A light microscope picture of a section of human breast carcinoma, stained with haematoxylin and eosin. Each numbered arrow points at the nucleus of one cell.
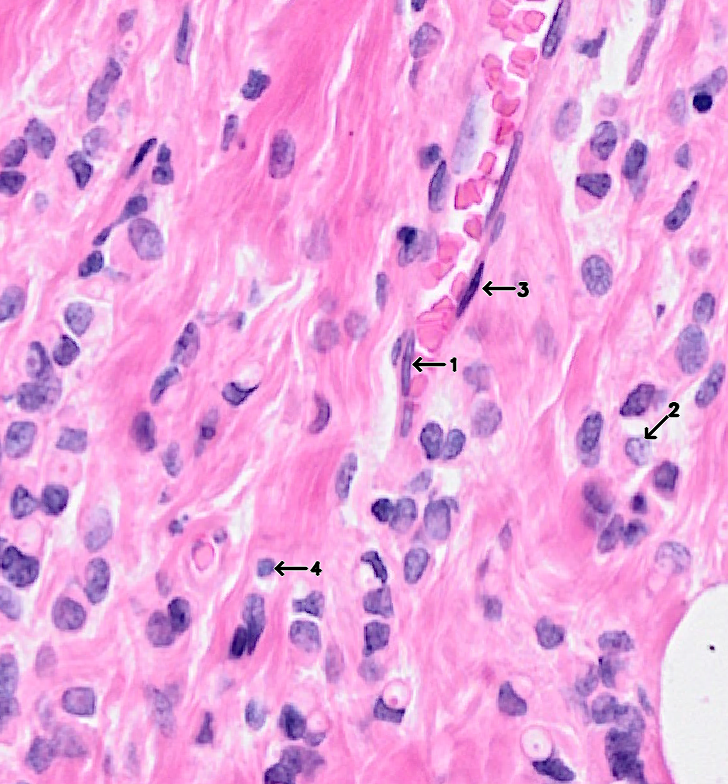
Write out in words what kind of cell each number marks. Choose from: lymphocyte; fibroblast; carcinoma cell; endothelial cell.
Cell 1 is an endothelial cell, cell 2 is a carcinoma cell, cell 3 is an endothelial cell and cell 4 is a lymphocyte.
